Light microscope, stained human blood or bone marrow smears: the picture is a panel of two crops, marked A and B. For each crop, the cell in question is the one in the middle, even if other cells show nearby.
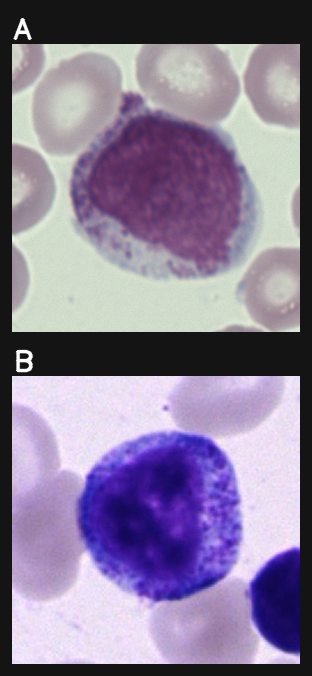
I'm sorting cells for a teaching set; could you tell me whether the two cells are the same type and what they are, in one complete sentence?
Yes, that is right, both crops show promyelocytes.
